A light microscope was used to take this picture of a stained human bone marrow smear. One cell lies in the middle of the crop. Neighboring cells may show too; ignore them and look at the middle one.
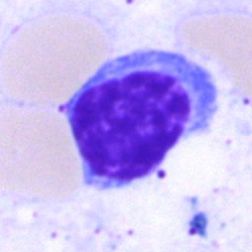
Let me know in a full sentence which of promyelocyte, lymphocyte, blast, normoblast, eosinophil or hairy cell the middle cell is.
Of the cells in this crop, the central one is a lymphocyte.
